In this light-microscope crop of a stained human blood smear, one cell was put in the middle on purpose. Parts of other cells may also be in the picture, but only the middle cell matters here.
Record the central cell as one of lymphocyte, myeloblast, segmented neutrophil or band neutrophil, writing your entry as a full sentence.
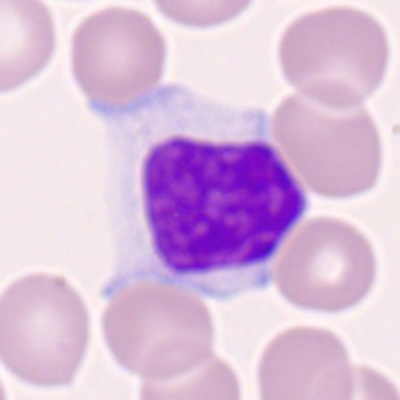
Located at the centre of the crop is a lymphocyte.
